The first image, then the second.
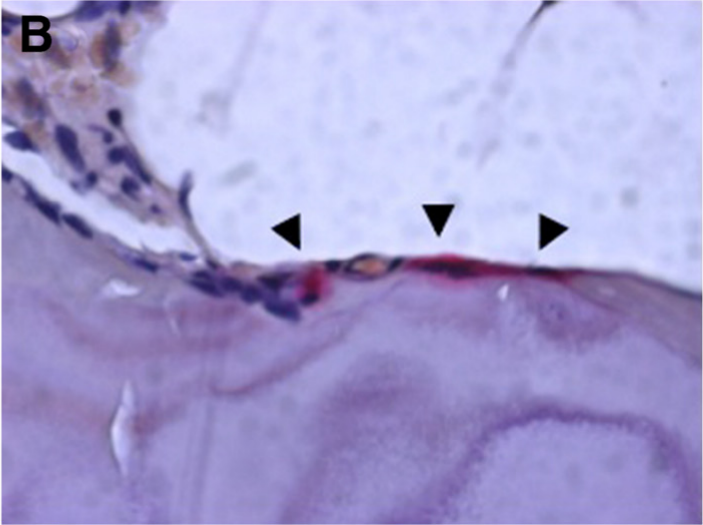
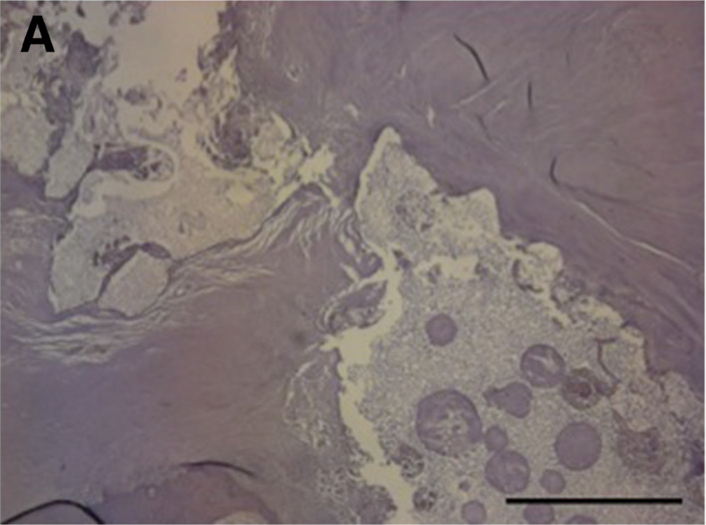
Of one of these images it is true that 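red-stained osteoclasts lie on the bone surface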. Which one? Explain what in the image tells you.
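The first image. First image: bright red-magenta cells sit on the bone surface. Second image: the tissue is stained only in purple-grey tones, with no red-stained cells visible.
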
